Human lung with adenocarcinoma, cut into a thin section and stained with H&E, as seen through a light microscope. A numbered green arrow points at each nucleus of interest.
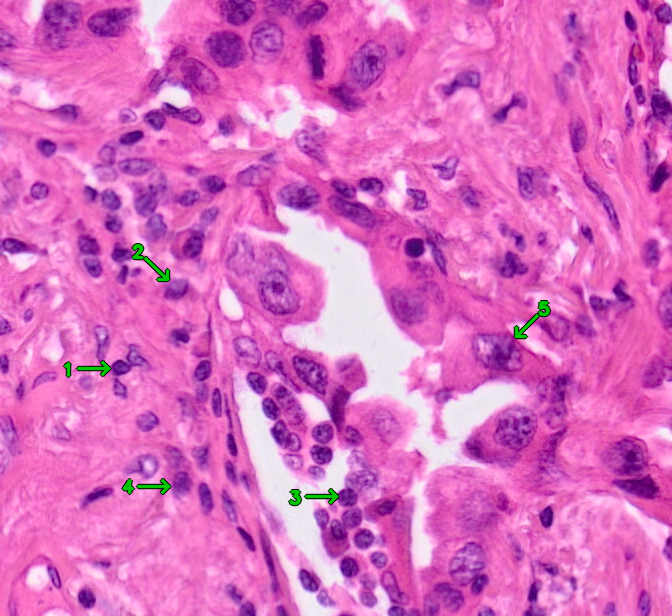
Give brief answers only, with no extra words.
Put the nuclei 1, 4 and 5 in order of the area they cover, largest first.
5, 4, 1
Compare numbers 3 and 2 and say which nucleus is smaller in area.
3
